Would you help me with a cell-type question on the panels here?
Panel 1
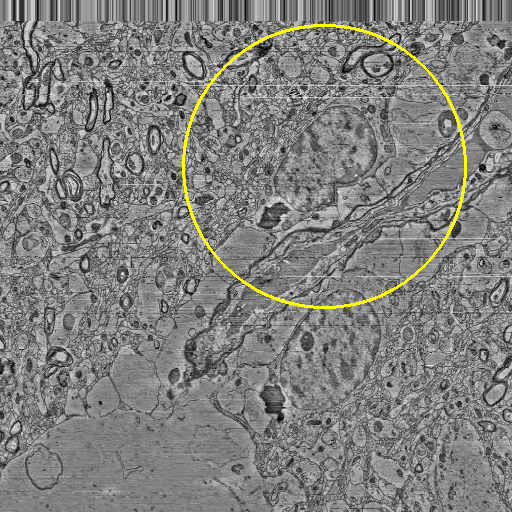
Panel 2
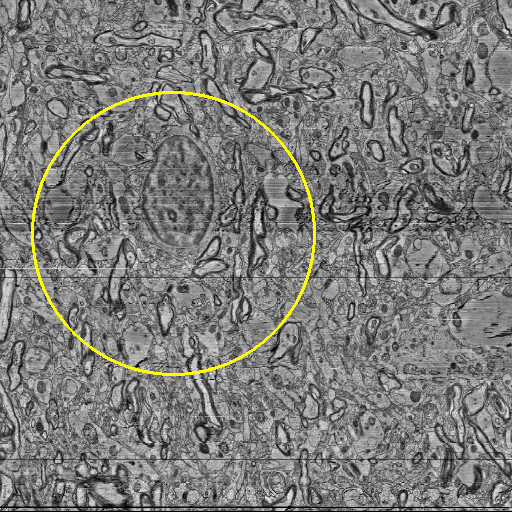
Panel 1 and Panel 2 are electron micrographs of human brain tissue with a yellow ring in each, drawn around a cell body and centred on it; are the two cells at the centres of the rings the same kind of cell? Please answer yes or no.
yes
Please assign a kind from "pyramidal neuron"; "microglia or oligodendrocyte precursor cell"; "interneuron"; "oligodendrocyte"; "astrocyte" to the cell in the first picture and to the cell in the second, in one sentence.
Both pictures show an oligodendrocyte at the centre of the ring.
